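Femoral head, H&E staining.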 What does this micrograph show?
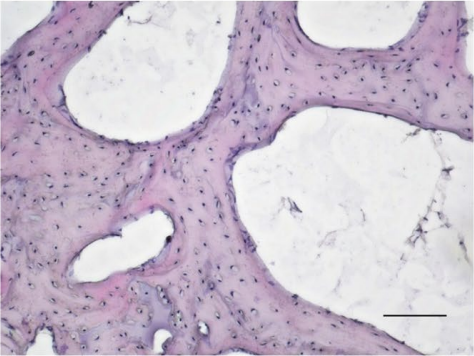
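Pink-staining bony trabeculae branch and join around large clear marrow spaces, which hold only a few wisps of loose pale tissue. Throughout the bone matrix small dark-purple nuclei sit regularly spaced, each in a small lacuna, and few lacunae appear empty. The clear spaces between trabeculae are rounded or oval and vary widely in size.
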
